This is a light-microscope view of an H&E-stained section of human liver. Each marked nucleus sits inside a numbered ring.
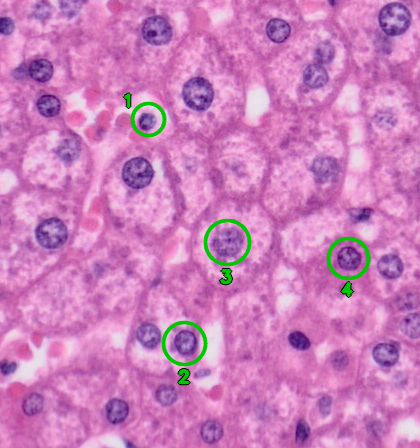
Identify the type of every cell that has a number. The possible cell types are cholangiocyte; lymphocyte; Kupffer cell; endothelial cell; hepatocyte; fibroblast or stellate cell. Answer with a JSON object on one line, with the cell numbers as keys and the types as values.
{"1": "lymphocyte", "2": "hepatocyte", "3": "hepatocyte", "4": "hepatocyte"}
